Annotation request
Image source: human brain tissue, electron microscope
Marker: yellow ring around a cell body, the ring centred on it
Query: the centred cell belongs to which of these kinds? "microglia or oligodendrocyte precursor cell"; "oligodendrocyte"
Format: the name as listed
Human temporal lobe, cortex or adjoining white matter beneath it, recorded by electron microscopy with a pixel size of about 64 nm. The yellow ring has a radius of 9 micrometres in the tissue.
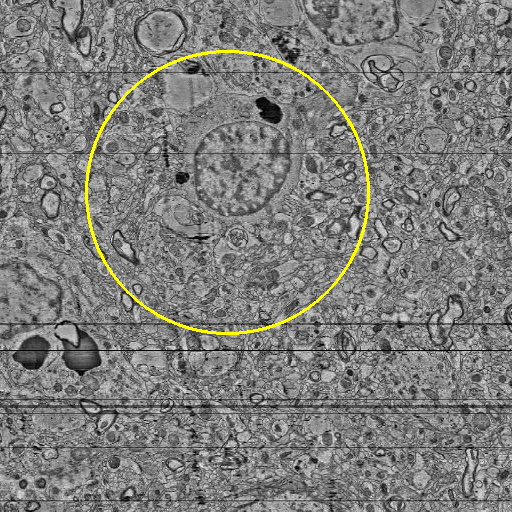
oligodendrocyte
